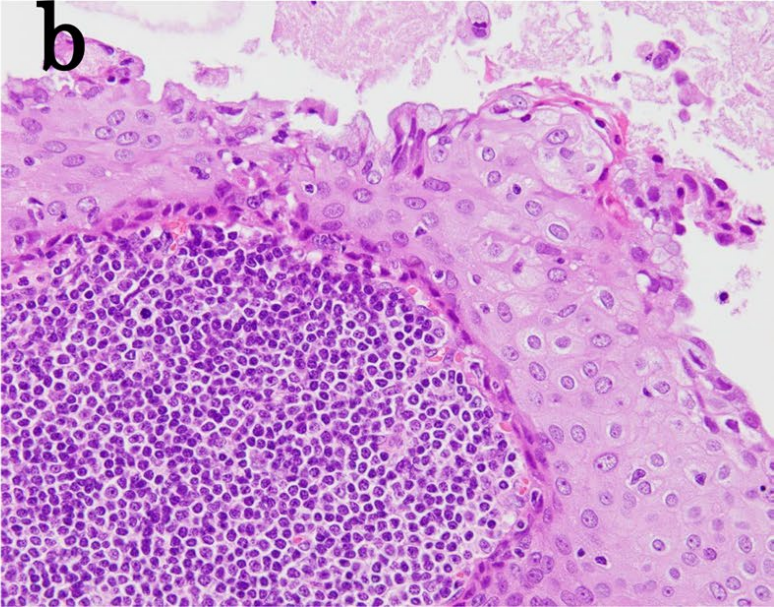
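The cyst wall is lined by stratified squamous epithelium made of several layers of polygonal cells with pink cytoplasm and oval vesicular nuclei, facing a lumen that holds pale pink anucleate flaky keratinous material. Beneath the epithelium lies a dense, sharply bounded aggregate of small round lymphocytes with dark nuclei and scant cytoplasm.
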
